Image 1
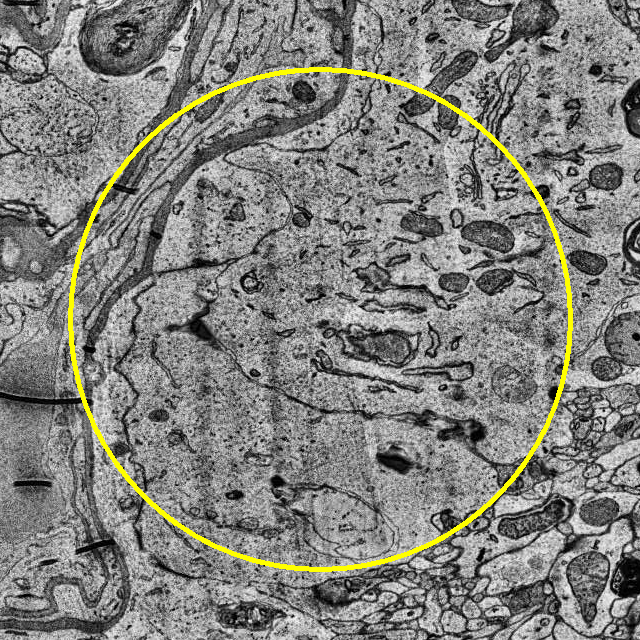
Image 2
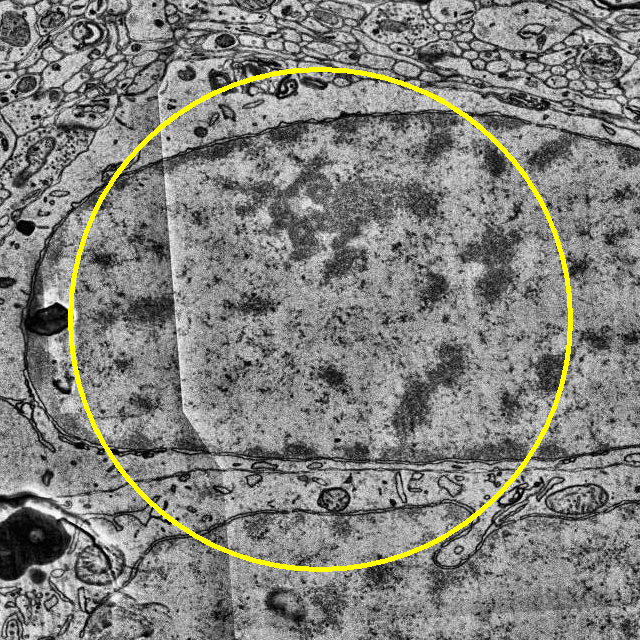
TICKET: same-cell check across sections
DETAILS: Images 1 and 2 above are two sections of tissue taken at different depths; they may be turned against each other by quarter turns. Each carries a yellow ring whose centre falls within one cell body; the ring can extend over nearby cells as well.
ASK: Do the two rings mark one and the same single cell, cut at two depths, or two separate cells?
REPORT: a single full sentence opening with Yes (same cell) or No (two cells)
No, the marked cells are two, not one.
